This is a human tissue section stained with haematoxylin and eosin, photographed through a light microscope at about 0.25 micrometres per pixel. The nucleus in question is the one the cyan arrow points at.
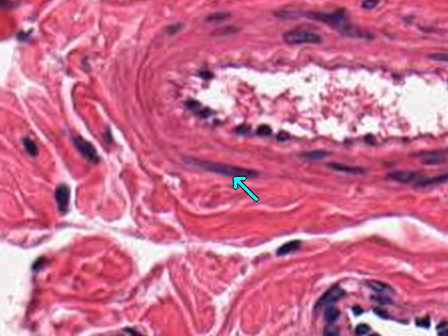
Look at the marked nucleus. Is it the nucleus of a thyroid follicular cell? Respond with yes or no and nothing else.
no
